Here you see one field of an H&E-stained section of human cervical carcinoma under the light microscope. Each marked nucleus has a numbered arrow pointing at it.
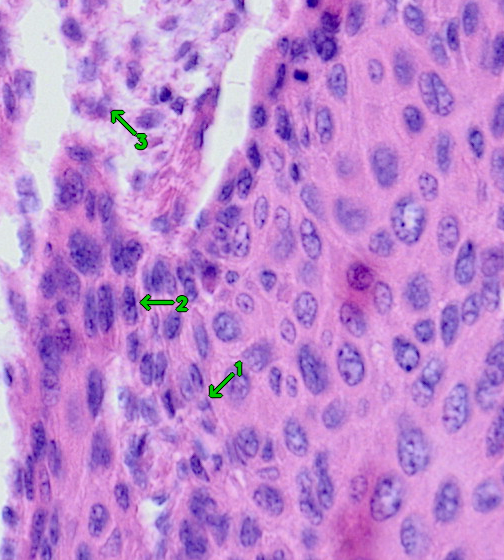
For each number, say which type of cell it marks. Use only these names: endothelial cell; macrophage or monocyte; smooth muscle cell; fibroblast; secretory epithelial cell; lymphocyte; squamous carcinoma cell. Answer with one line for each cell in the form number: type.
1: squamous carcinoma cell
2: squamous carcinoma cell
3: fibroblast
